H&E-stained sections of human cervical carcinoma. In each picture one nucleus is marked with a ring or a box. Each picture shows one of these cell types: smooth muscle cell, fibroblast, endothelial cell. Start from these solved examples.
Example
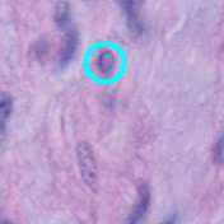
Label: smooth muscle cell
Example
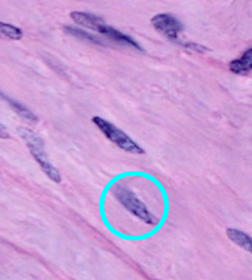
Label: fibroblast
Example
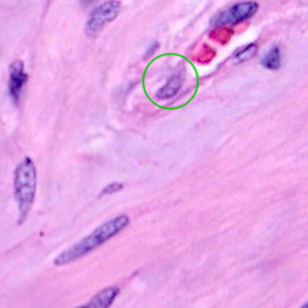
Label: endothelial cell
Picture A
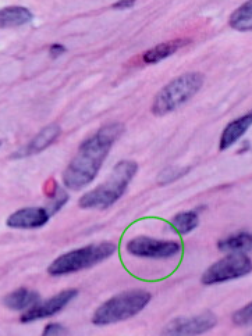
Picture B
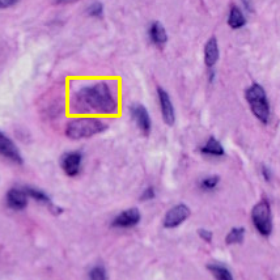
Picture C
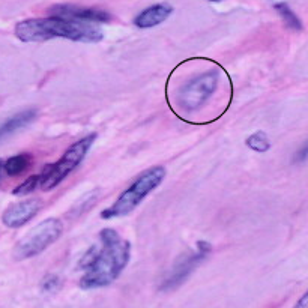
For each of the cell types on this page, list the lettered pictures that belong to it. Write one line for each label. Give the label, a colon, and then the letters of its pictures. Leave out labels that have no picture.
fibroblast: A
endothelial cell: B, C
